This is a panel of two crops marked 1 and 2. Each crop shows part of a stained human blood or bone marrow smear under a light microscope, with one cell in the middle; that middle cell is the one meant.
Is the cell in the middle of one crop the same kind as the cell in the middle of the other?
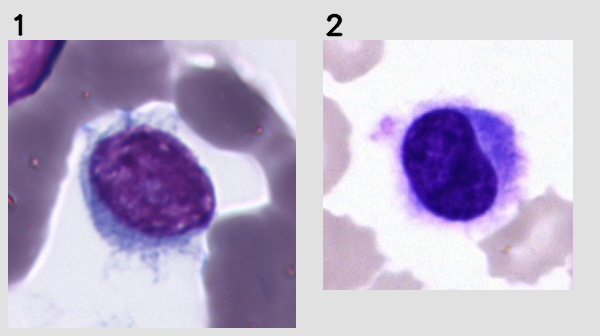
yes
